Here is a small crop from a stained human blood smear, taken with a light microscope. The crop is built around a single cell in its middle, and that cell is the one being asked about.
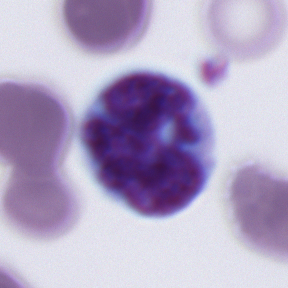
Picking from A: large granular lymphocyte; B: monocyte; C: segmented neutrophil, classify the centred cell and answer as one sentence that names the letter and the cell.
Option B is the correct selection, for the cell at the centre is a monocyte.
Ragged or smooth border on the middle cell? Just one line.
Thanks for asking; the cell edge is smooth and has no projections.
